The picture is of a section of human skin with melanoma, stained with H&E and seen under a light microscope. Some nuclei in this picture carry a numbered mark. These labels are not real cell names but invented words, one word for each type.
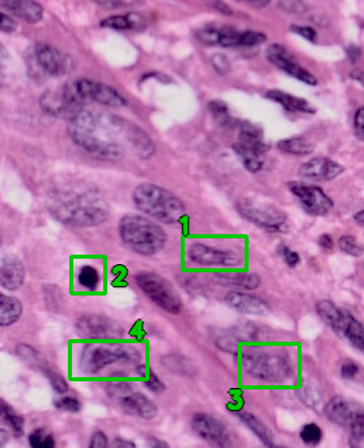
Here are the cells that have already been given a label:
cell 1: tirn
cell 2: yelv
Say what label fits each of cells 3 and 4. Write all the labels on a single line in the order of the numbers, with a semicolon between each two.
tirn; tirn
